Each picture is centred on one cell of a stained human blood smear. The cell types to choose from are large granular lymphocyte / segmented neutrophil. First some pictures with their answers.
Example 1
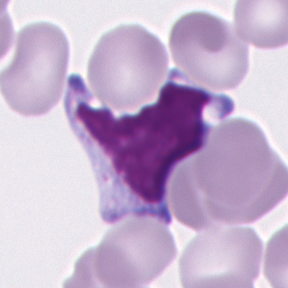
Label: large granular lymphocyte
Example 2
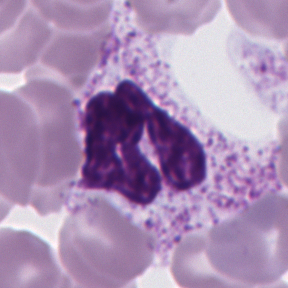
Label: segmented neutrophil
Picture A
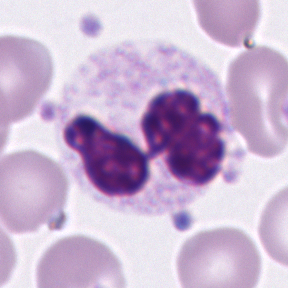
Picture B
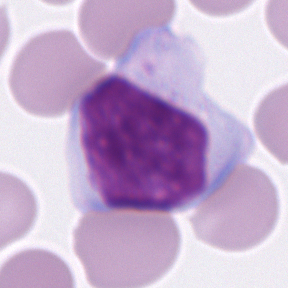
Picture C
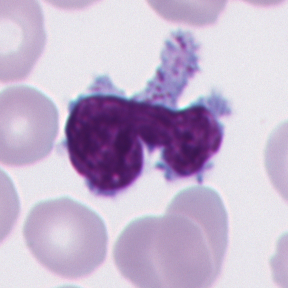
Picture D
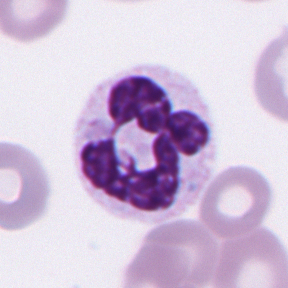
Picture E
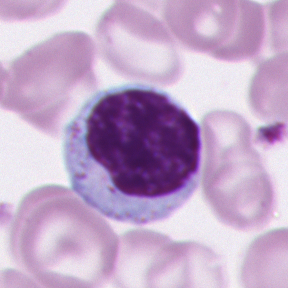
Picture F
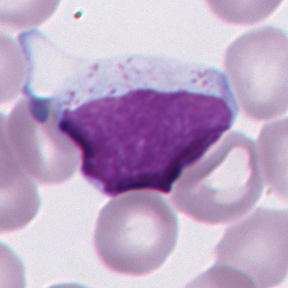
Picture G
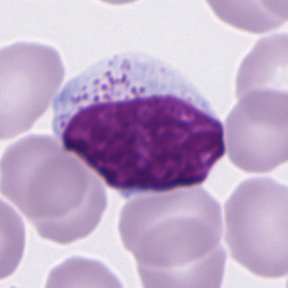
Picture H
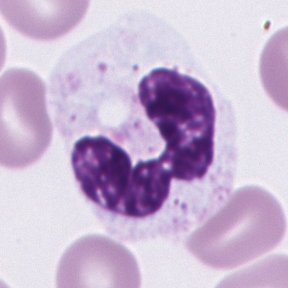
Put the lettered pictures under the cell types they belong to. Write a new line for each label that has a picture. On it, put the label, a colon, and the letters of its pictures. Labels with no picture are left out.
large granular lymphocyte: B, C, E, F, G
segmented neutrophil: A, D, H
